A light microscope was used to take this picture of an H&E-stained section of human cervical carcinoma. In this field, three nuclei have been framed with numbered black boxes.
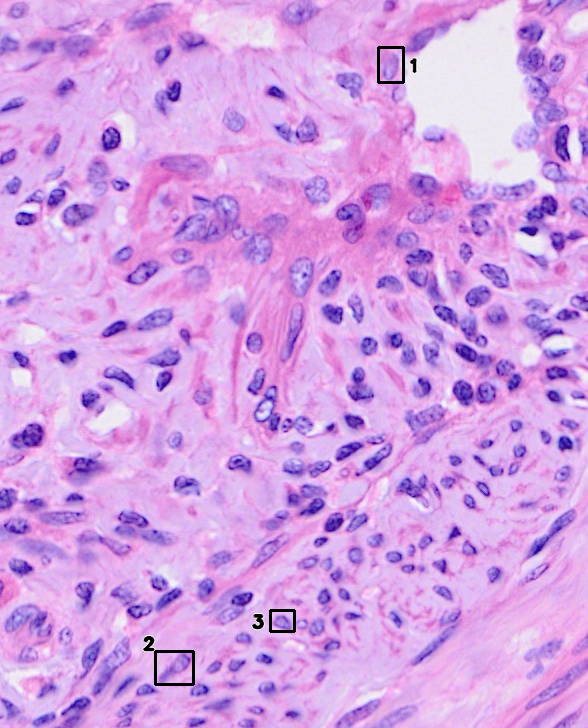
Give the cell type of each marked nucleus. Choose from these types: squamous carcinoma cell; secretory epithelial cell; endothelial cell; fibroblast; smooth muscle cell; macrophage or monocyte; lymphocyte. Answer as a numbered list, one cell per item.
1. endothelial cell
2. smooth muscle cell
3. smooth muscle cell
